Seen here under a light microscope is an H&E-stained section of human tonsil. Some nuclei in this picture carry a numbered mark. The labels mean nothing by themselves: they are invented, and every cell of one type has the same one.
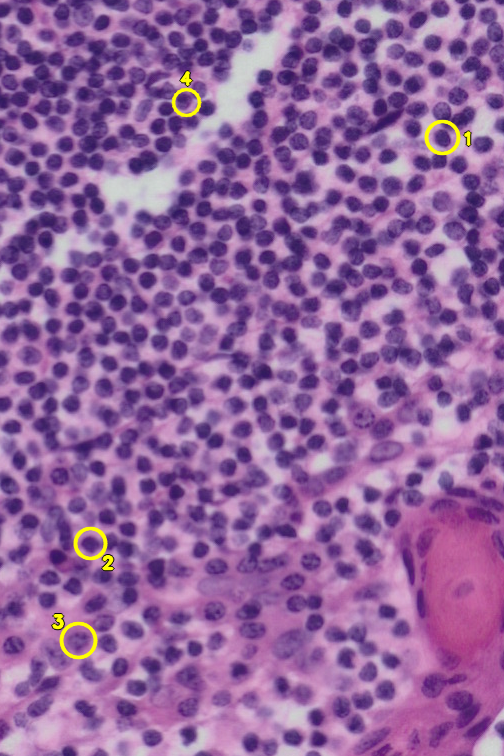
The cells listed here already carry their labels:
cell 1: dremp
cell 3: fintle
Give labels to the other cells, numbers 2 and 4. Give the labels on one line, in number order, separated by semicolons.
dremp; dremp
